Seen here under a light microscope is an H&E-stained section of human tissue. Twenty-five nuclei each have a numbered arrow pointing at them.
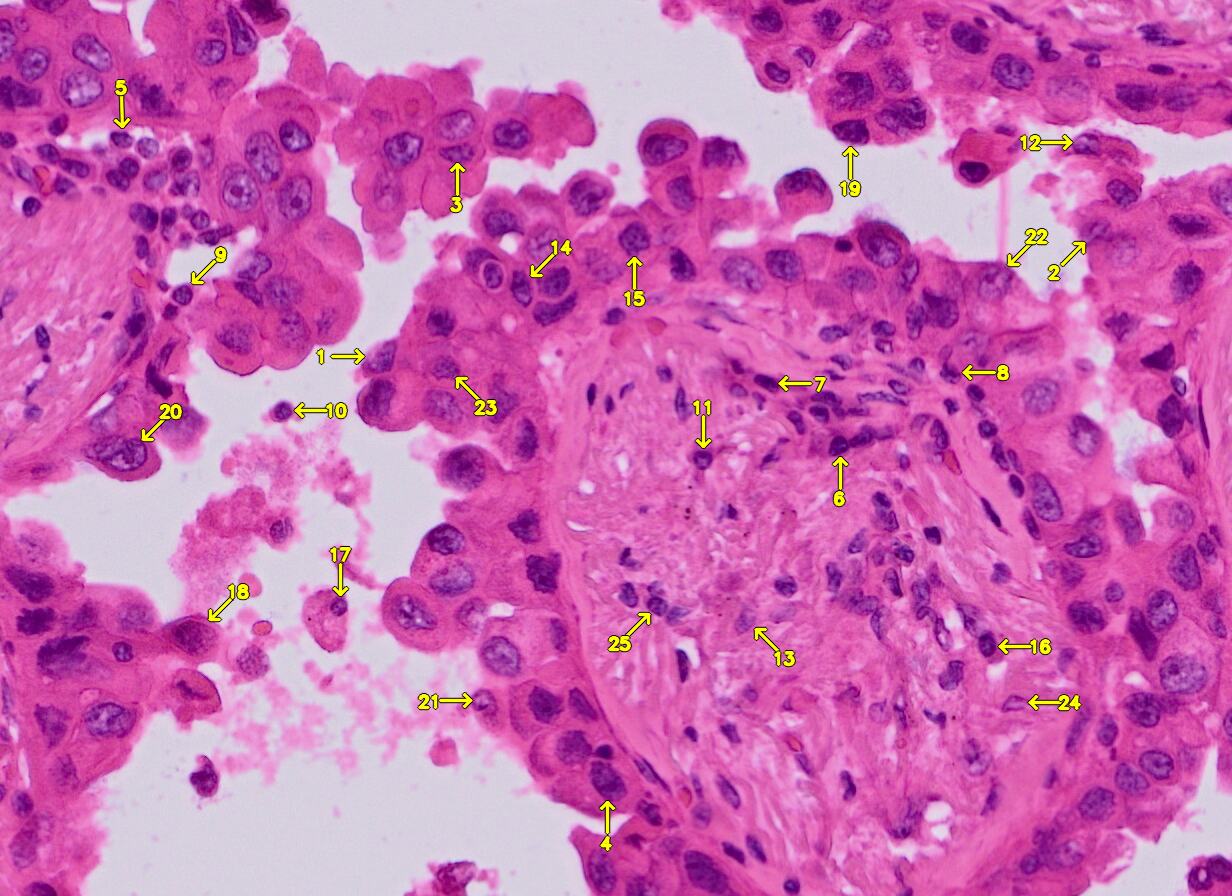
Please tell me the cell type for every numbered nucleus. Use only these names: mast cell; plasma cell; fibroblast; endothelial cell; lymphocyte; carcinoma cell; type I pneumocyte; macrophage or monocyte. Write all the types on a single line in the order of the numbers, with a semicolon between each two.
carcinoma cell; carcinoma cell; carcinoma cell; carcinoma cell; lymphocyte; plasma cell; plasma cell; lymphocyte; lymphocyte; lymphocyte; plasma cell; macrophage or monocyte; macrophage or monocyte; carcinoma cell; carcinoma cell; plasma cell; macrophage or monocyte; carcinoma cell; carcinoma cell; carcinoma cell; macrophage or monocyte; carcinoma cell; carcinoma cell; macrophage or monocyte; plasma cell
